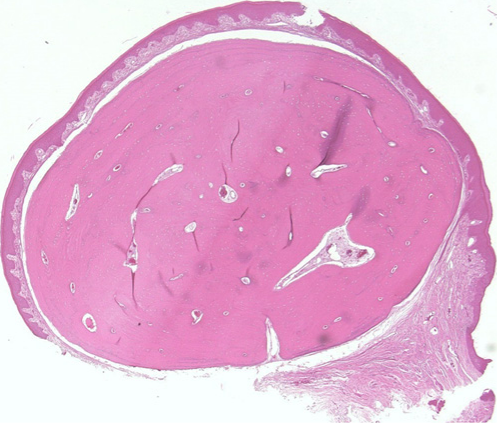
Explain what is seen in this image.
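A large round nodule of dense, evenly pink matrix fills the section, pierced by scattered small canals and spaces, the look of mature compact bone. A thin clear gap, likely an artefact of cutting, separates it from a narrow rim of looser tissue, fibrous stroma, around it. Outermost, a thin continuous surface layer with a slightly undulating lower edge covers the nodule, a stratified squamous epithelium. At the lower right, looser, paler fibrous tissue extends away from the nodule.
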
